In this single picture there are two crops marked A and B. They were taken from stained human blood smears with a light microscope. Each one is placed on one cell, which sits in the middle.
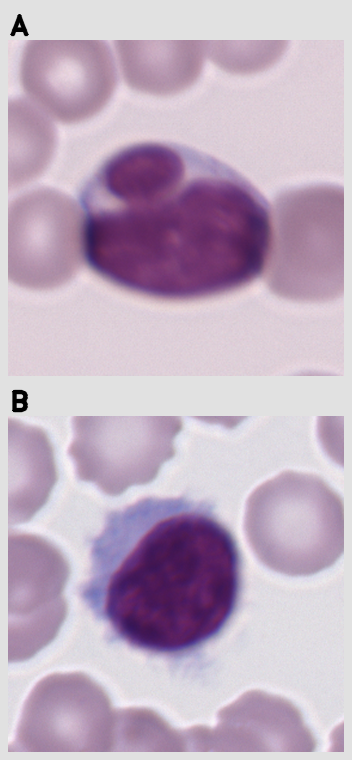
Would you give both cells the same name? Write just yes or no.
no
